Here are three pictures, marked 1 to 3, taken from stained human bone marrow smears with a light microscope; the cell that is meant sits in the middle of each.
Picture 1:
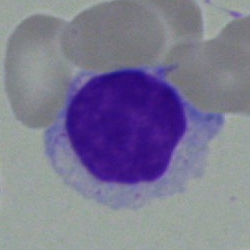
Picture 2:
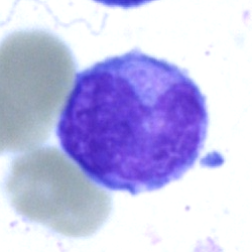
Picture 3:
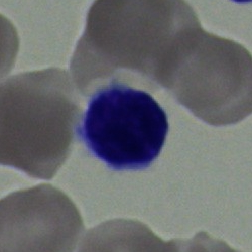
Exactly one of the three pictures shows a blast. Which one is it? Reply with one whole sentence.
Picture 2 is the one that shows the blast.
